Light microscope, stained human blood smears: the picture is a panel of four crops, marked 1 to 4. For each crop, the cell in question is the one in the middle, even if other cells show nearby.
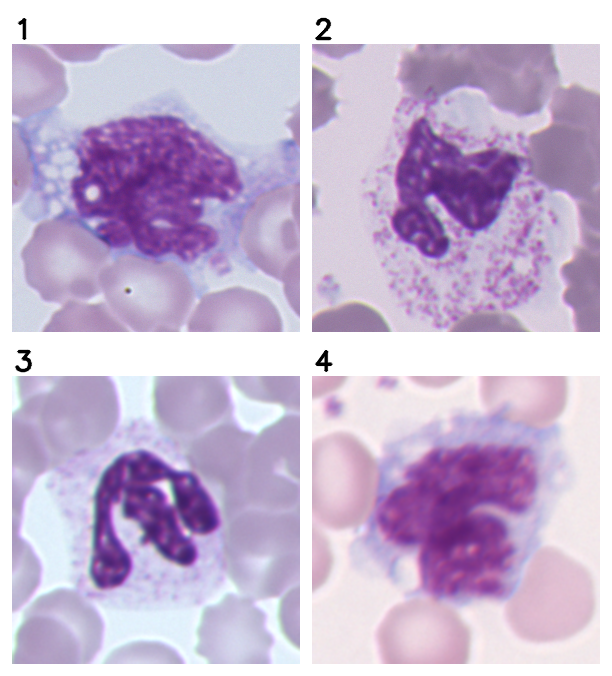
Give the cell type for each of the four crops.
1: monocyte
2: neutrophil
3: neutrophil
4: monocyte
